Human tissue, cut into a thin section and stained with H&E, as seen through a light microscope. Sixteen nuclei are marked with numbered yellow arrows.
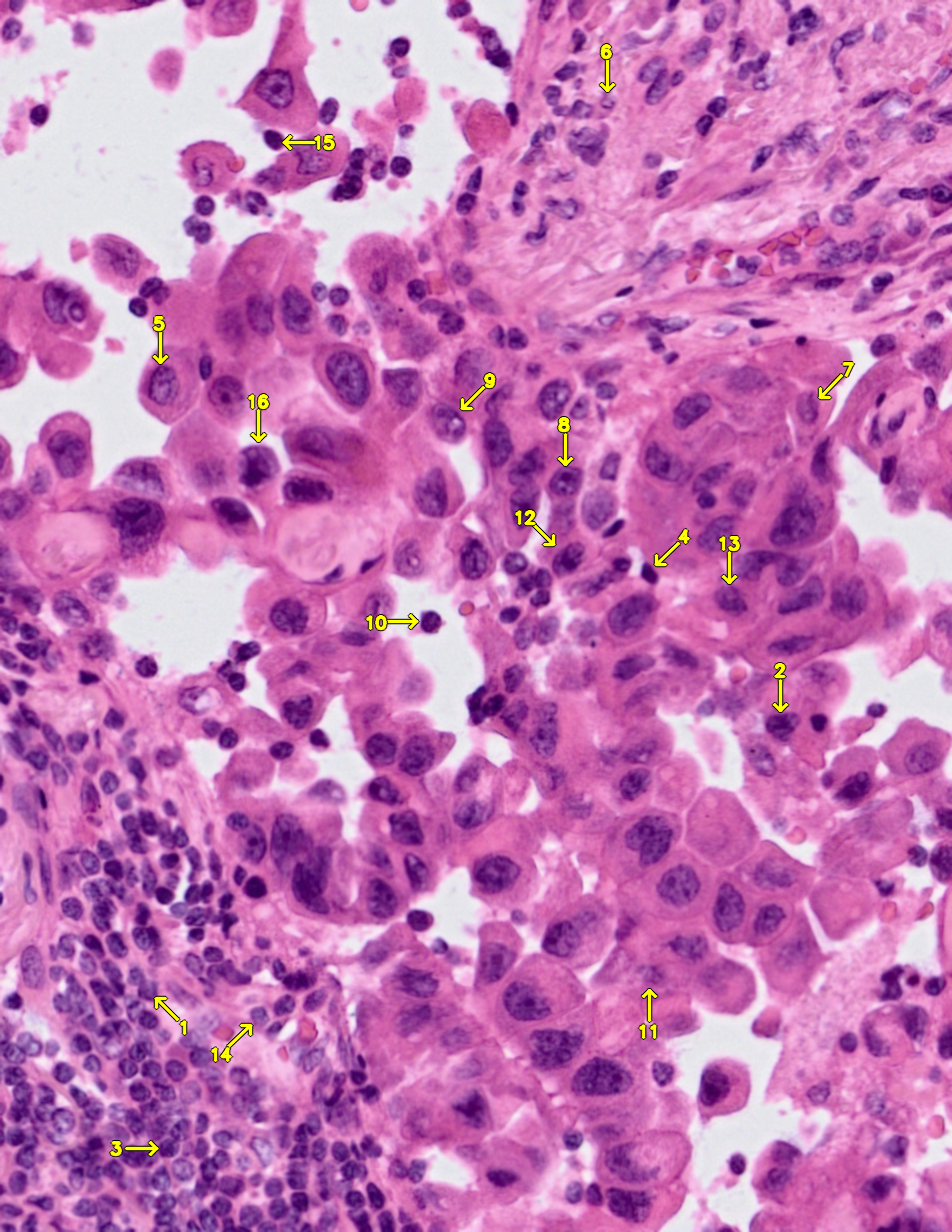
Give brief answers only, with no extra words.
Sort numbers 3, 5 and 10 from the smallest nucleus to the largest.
3, 10, 5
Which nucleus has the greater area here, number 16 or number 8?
16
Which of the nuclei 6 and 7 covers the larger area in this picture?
7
